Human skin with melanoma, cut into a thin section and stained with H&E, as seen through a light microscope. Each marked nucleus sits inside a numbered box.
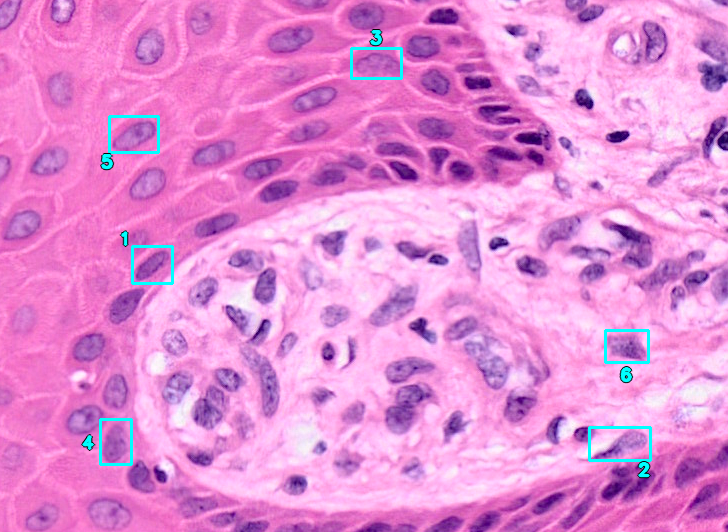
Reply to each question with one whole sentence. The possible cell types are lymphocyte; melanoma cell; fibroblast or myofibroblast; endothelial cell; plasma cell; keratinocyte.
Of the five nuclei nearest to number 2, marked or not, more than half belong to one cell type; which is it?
Most of the five nuclei nearest to number 2 are those of keratinocytes.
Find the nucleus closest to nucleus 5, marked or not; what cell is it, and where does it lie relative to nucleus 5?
A keratinocyte lies closest, below nucleus 5.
